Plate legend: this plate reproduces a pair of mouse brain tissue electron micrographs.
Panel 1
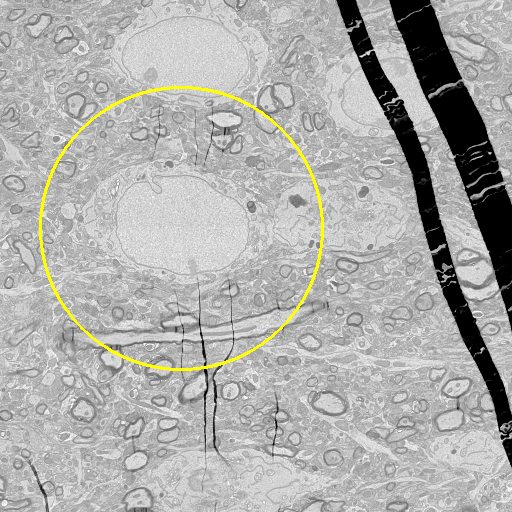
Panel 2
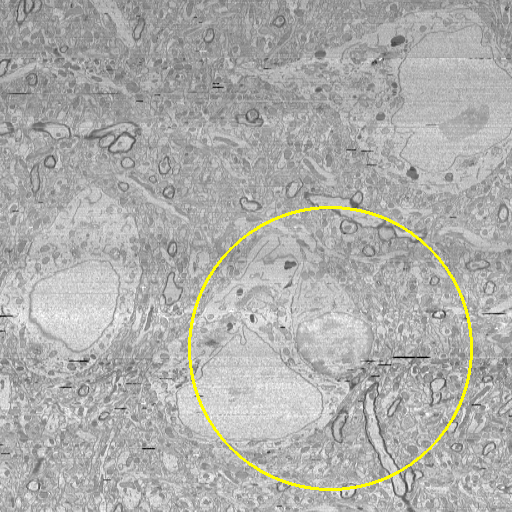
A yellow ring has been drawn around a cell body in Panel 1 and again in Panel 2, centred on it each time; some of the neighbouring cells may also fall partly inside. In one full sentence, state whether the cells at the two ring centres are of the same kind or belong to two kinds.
The ring-centred cells of Panel 1 and Panel 2 belong to two kinds.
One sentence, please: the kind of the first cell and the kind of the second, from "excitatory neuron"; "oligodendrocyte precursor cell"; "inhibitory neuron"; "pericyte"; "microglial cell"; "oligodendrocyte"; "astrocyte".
The ring in the first picture surrounds an excitatory neuron, and the ring in the second surrounds an oligodendrocyte.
